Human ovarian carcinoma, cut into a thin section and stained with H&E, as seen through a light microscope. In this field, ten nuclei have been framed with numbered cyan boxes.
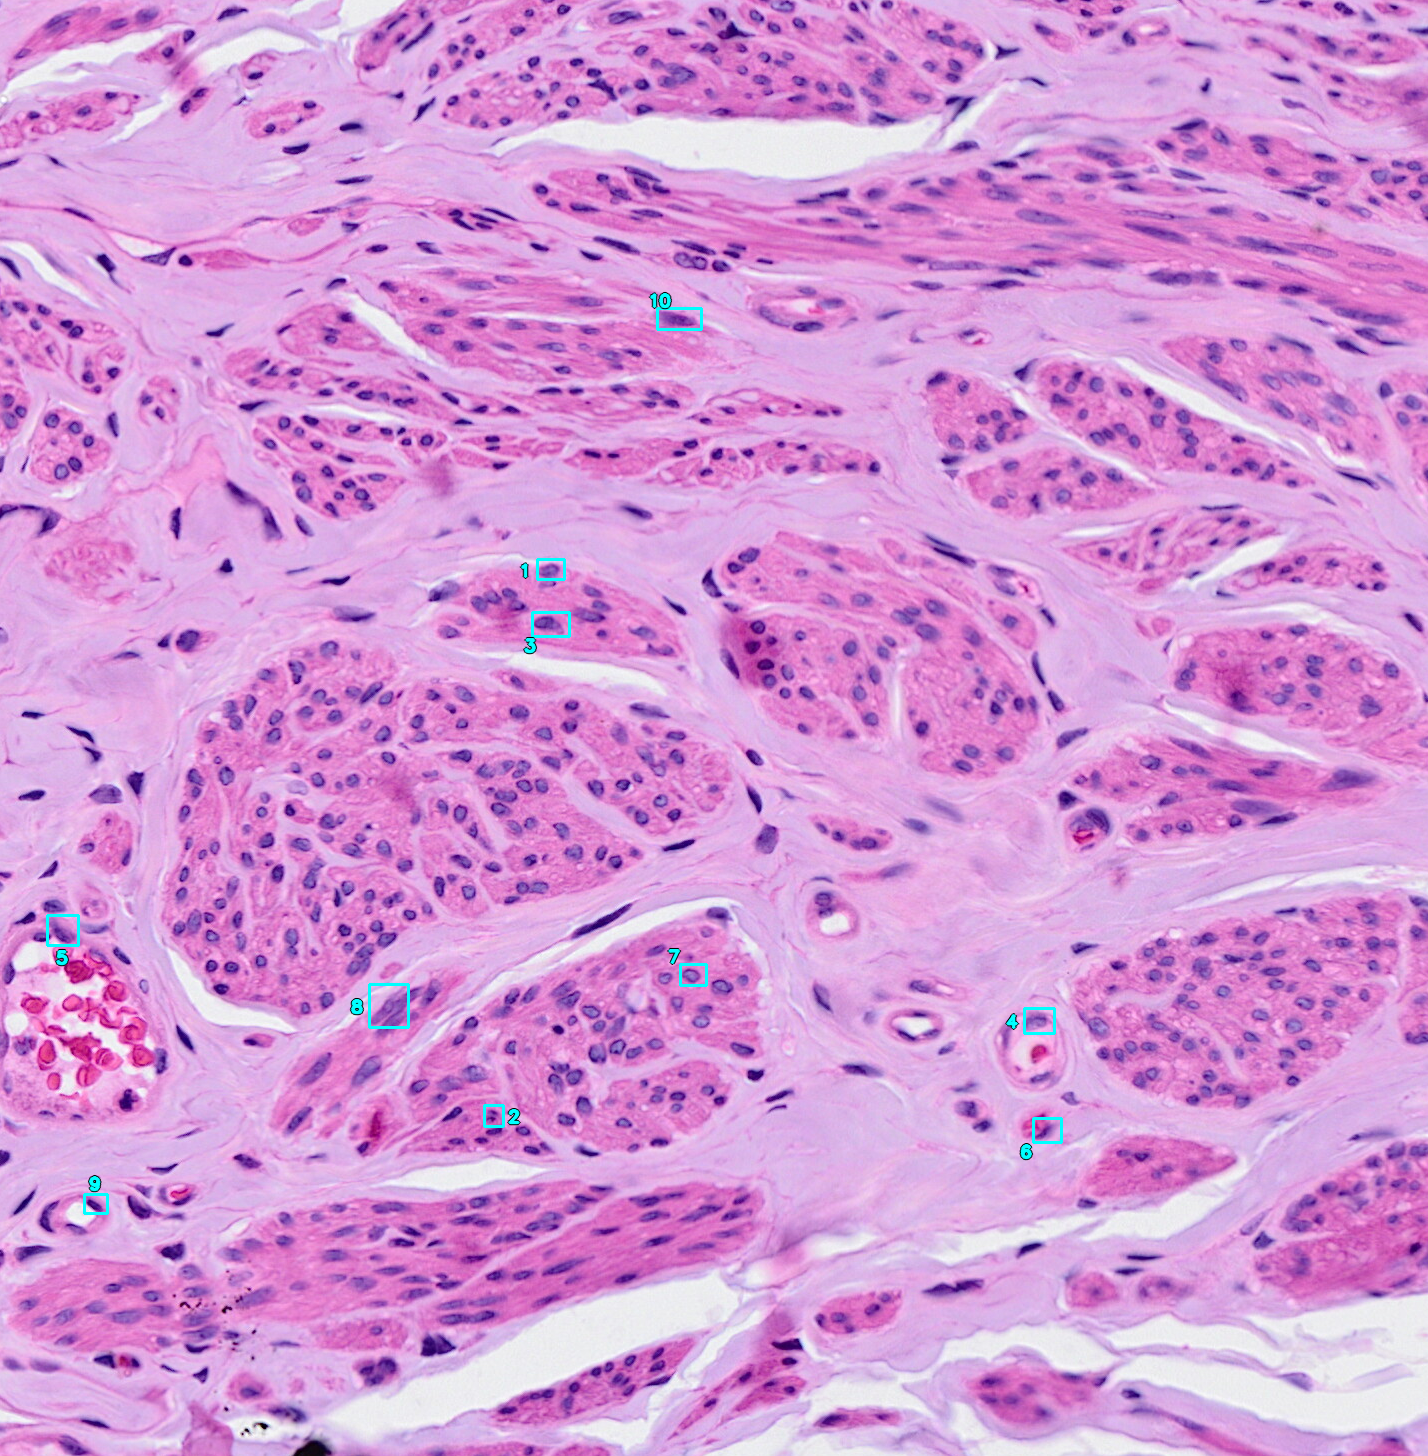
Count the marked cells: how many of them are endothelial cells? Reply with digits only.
4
